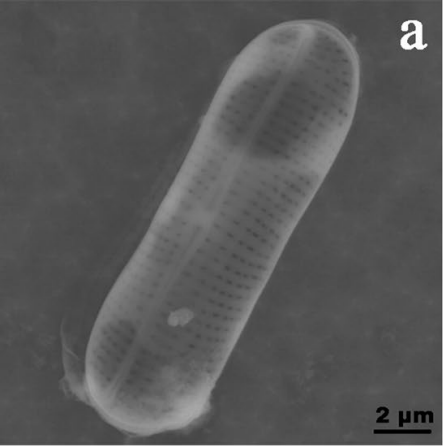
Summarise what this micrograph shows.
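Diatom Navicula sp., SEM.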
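The shell is elongated, with nearly parallel sides and broadly rounded ends. A faint line runs lengthwise along the middle of the valve. Its surface is covered by fine rows of small dark pores arranged in parallel lines across the shell. A small particle sits on the surface near the lower end.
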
